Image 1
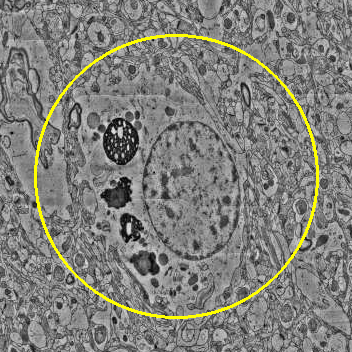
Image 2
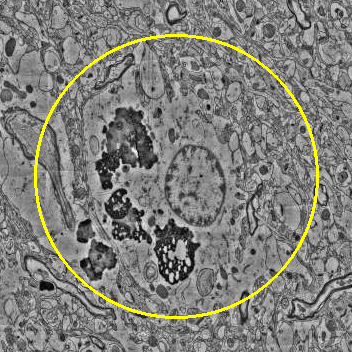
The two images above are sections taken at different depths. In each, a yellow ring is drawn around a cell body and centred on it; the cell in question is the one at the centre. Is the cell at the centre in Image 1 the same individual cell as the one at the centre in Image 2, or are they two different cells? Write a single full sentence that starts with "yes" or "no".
Yes, a single cell lies behind both yellow marks.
